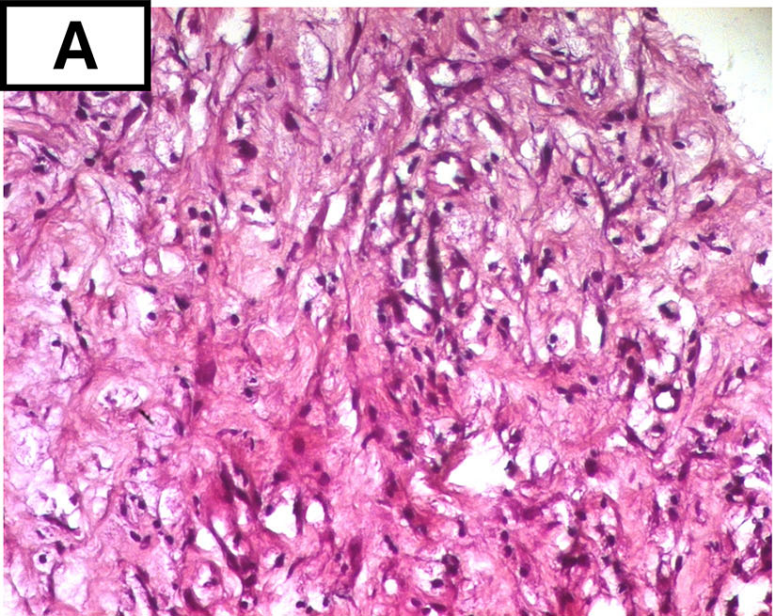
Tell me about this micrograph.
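At intermediate power, the field is filled with many cells whose cytoplasm is pale and vacuolated, set in a pink fibrillar stroma. Small dark nuclei, some round and some elongated, are scattered among the clear spaces and the pink strands. These are sheets of foamy histiocytes lying within a fibrotic background.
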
